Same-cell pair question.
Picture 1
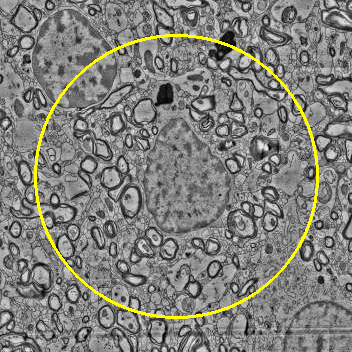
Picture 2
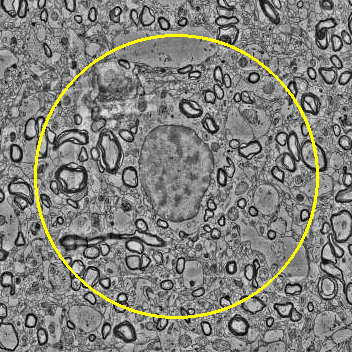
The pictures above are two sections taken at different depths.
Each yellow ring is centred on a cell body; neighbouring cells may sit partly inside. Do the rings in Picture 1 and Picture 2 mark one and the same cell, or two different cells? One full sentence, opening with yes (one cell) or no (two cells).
No, these are two different cells, each marked with a ring.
